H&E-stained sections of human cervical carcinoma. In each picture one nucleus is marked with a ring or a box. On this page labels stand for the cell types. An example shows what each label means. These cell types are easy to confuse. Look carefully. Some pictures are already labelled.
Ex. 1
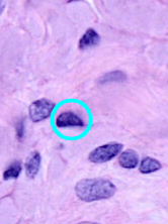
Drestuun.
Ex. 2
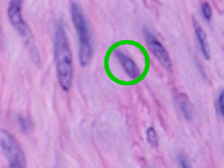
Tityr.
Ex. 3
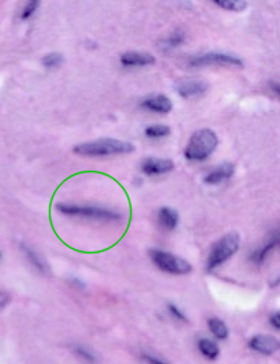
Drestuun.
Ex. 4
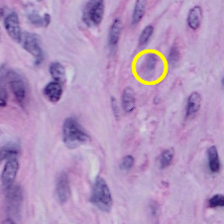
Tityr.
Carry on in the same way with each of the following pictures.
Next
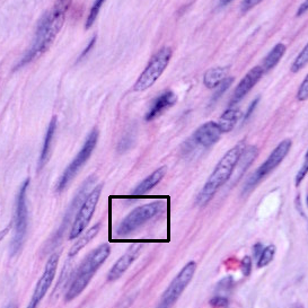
Tityr.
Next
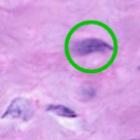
Drestuun.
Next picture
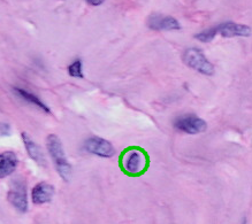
Drestuun.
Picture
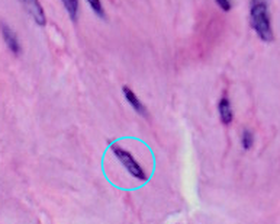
Drestuun.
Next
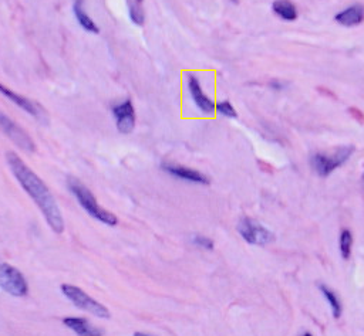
Drestuun.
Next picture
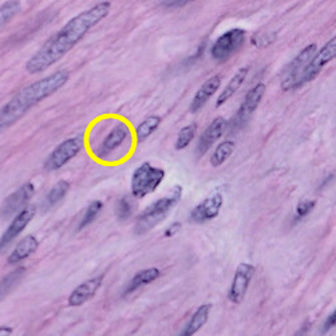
Tityr.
